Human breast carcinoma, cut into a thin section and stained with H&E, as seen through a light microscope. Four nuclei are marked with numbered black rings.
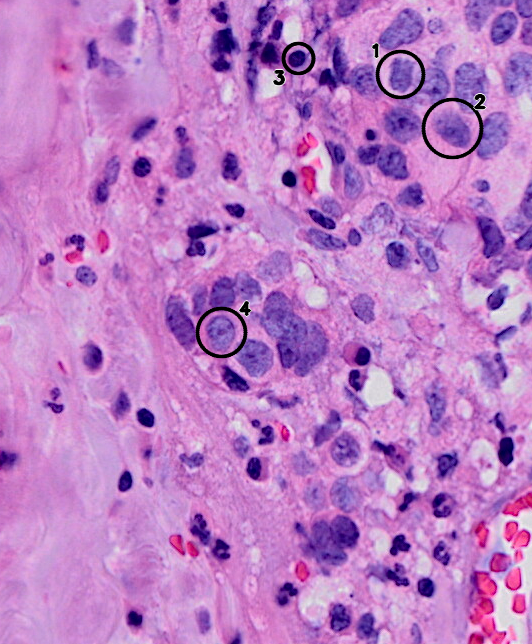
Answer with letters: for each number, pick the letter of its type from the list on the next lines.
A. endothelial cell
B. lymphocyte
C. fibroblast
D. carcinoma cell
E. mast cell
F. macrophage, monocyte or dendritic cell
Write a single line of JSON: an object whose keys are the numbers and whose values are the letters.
{"1": "D", "2": "D", "3": "B", "4": "D"}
